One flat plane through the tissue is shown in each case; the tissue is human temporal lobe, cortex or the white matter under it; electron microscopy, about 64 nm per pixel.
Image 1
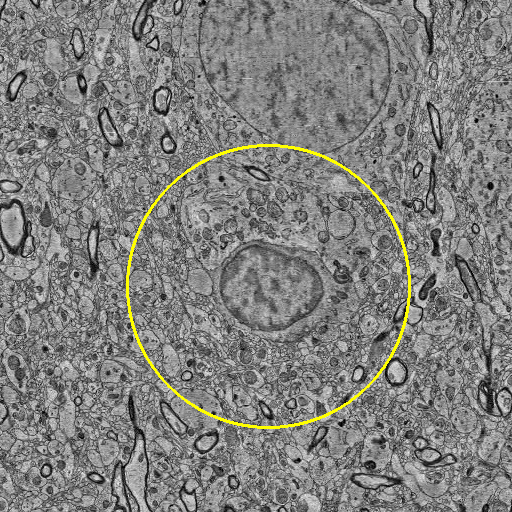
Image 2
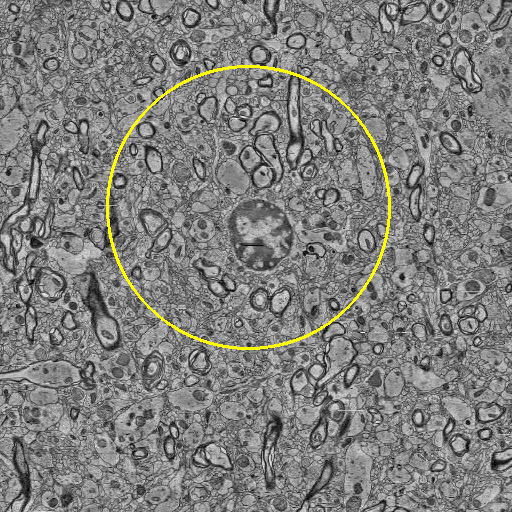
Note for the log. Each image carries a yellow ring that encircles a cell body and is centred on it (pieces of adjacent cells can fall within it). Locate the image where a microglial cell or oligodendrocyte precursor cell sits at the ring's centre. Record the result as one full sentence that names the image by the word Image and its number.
Image 2 has the wanted cell sitting at the centre of its ring.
